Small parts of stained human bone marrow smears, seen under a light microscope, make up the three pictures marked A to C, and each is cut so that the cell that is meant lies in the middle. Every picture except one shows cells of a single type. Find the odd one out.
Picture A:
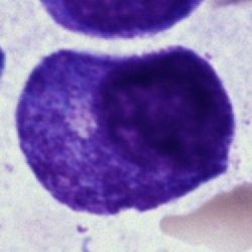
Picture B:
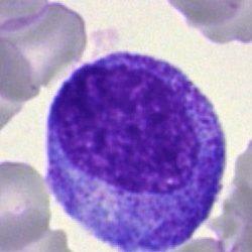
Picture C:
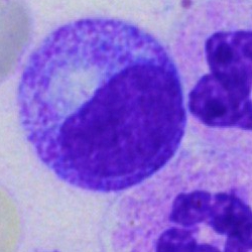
C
